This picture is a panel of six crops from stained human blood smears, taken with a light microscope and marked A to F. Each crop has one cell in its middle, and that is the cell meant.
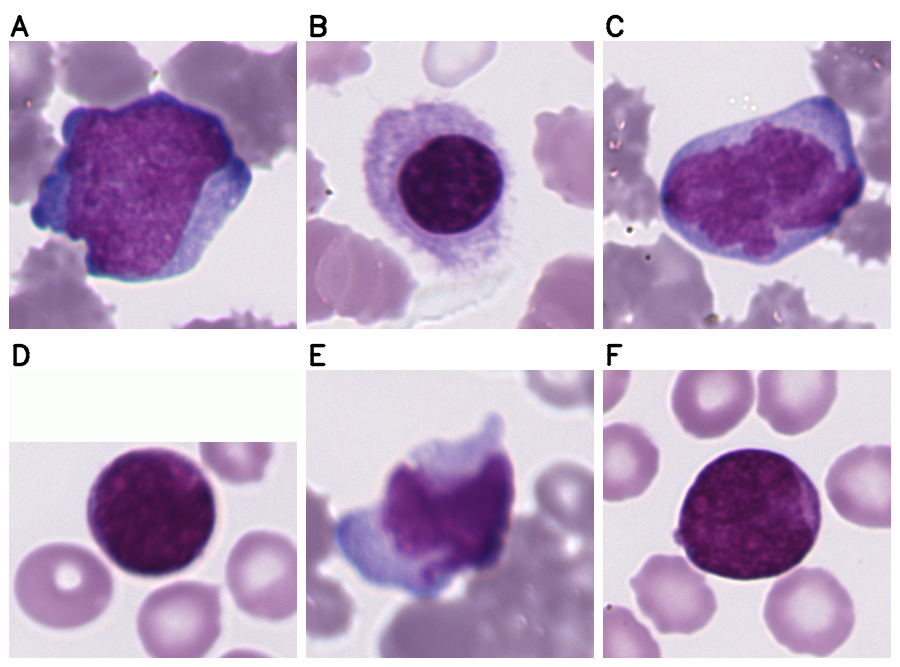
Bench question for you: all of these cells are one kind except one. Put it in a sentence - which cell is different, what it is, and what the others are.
Every crop but one shows myeloblasts; the exception, crop B, shows a hairy cell.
